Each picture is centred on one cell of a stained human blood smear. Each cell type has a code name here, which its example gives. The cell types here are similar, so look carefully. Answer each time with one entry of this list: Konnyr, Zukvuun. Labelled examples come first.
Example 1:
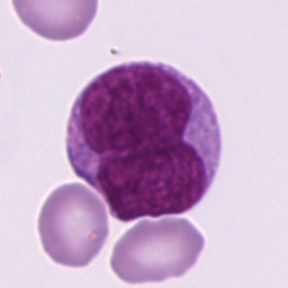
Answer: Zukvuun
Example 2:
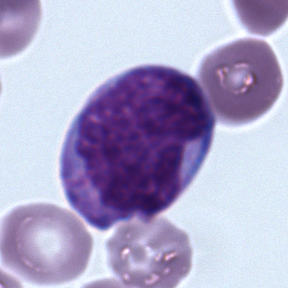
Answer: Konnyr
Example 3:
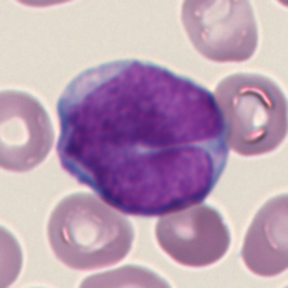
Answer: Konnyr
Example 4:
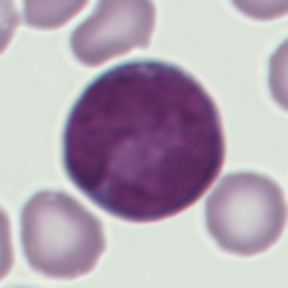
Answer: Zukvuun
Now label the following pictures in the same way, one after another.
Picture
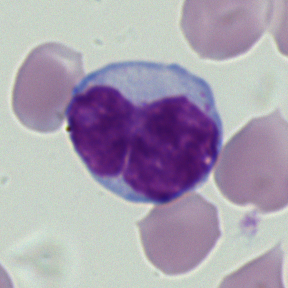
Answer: Zukvuun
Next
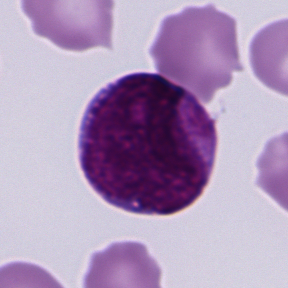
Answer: Zukvuun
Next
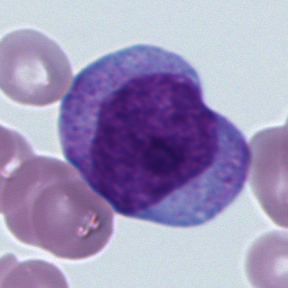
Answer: Konnyr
